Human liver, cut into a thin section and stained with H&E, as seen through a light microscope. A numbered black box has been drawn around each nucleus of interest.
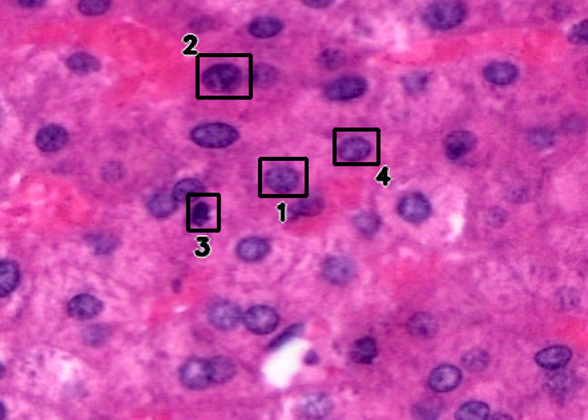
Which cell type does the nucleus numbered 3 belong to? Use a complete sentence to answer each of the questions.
Nucleus 3 in this section belongs to a fibroblast or stellate cell.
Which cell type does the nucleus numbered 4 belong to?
Nucleus 4 in this section belongs to a hepatocyte.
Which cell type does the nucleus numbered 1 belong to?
Regarding cell 1, this one is a hepatocyte.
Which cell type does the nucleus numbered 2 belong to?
The cell pointed out by number 2 is a hepatocyte.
